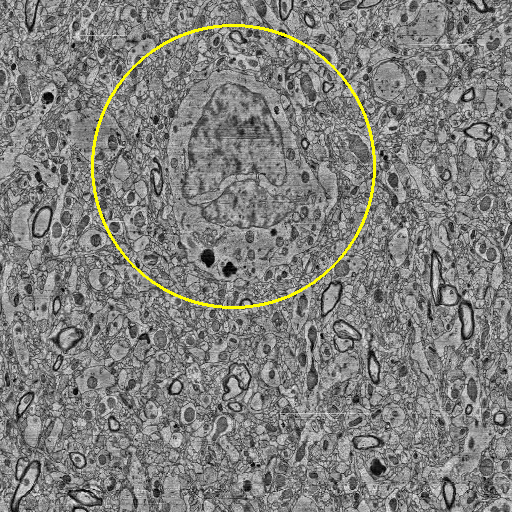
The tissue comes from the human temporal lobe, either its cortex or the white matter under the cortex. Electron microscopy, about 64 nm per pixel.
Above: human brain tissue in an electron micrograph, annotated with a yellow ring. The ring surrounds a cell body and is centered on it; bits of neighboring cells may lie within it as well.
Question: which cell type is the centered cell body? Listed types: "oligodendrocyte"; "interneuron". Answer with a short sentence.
The centered cell body is an interneuron.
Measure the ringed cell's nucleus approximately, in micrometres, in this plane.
In this plane the nucleus is about 10 micrometres by 7.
